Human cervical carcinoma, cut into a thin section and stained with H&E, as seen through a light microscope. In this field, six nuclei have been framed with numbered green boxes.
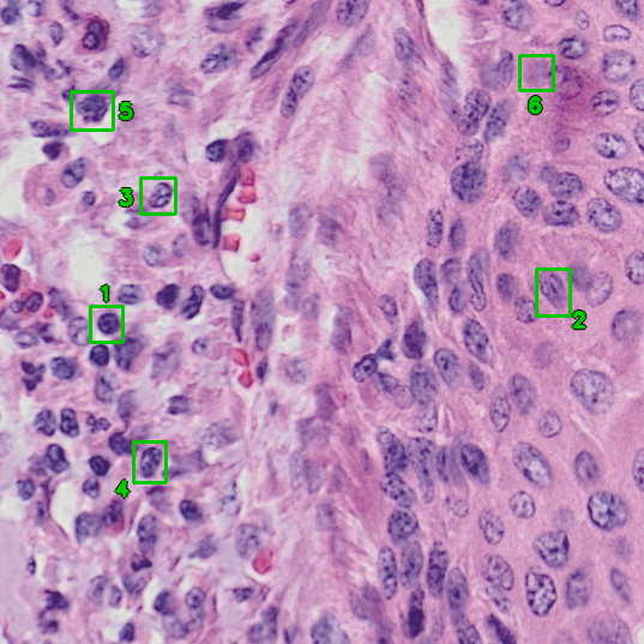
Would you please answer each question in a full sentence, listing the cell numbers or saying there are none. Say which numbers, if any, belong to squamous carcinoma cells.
Classified as squamous carcinoma cells are the cells numbered 2 and 6.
